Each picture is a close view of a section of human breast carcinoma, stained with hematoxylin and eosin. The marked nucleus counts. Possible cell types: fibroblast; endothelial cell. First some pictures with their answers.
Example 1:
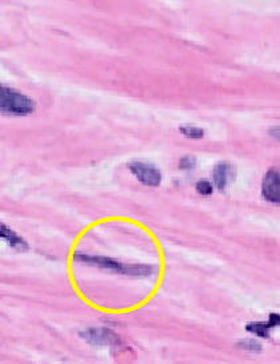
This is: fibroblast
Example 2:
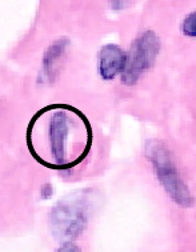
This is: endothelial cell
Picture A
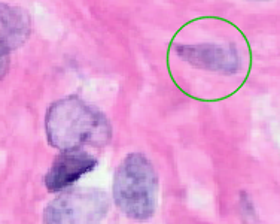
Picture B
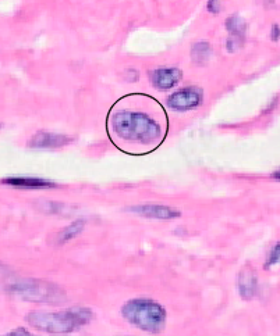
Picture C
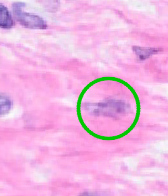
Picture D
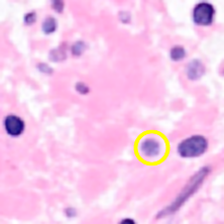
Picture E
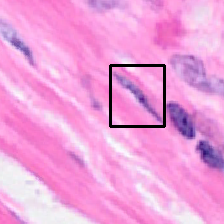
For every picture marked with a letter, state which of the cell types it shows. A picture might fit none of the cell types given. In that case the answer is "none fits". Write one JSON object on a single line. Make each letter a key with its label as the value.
{"A": "fibroblast", "B": "endothelial cell", "C": "fibroblast", "D": "none fits", "E": "fibroblast"}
